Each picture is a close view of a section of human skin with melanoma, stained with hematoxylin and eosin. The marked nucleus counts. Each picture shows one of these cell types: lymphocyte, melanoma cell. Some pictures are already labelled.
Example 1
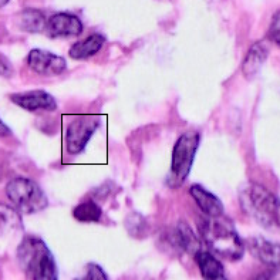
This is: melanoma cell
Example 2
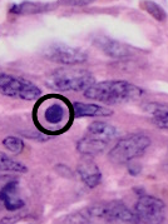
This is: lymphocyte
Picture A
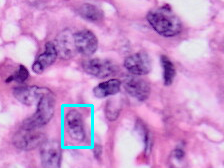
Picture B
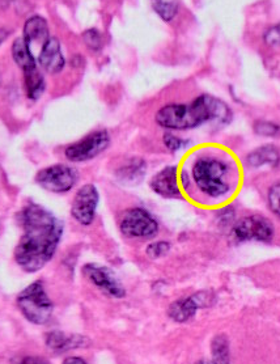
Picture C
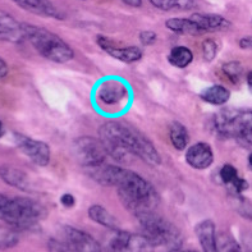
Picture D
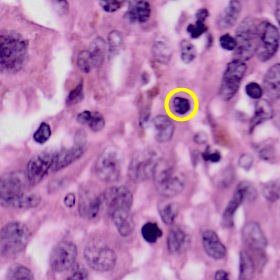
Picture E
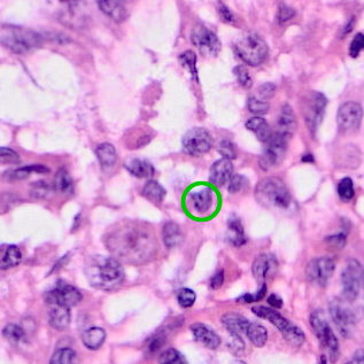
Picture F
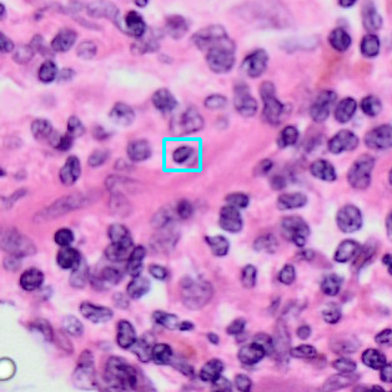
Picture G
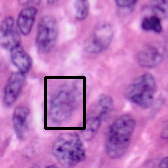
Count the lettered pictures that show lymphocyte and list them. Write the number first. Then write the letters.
3: C, D, F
